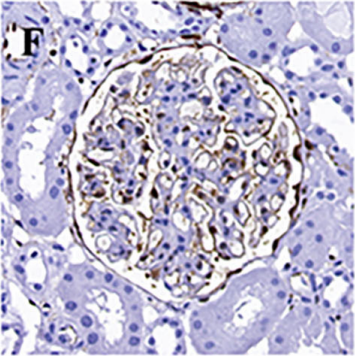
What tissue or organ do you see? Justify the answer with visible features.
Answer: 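A round tuft of capillary loops fills the centre. A thin capsule with a clear space surrounds the tuft. Cross-sections of tubules lie around it. That points to this answer: glomeruli.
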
